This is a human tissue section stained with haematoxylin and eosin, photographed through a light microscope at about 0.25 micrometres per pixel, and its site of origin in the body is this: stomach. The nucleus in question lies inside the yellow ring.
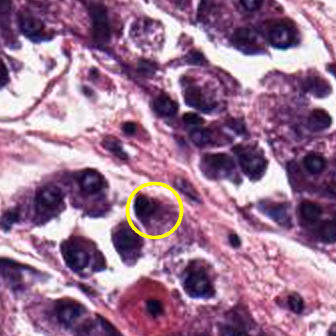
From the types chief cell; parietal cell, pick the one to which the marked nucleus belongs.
chief cell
